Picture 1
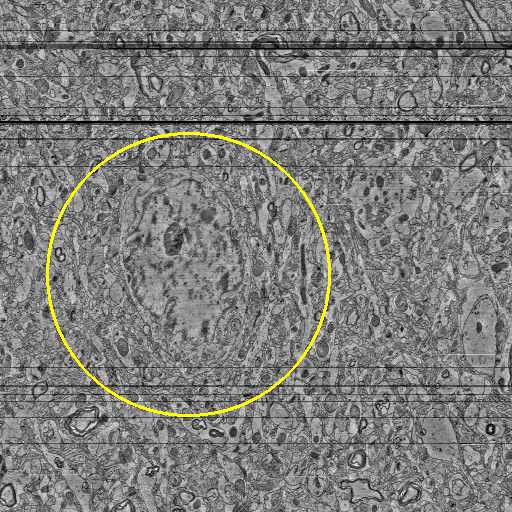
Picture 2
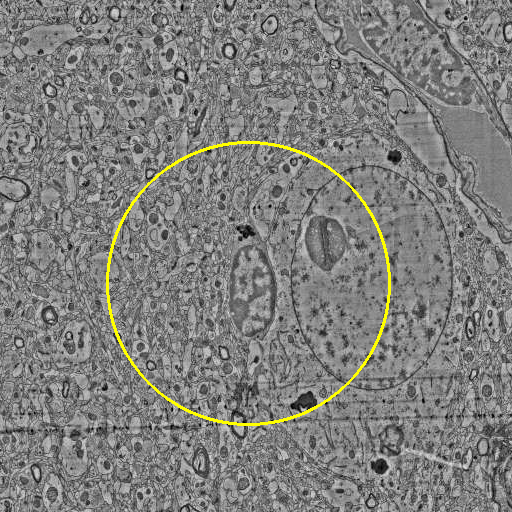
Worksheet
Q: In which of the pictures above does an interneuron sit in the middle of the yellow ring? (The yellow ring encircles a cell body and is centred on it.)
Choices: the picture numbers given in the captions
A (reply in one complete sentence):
In picture 1, the cell sitting at the centre of the ring is the match.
